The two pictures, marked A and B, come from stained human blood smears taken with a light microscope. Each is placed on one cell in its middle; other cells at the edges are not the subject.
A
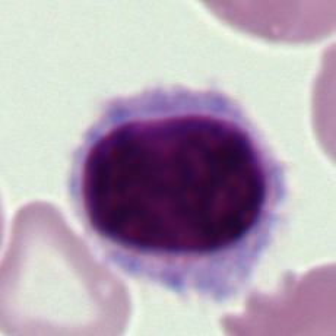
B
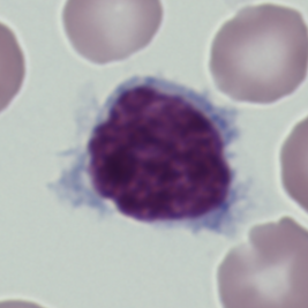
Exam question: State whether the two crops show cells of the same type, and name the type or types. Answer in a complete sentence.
Yes, both crops show hairy cells, the one and the other.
